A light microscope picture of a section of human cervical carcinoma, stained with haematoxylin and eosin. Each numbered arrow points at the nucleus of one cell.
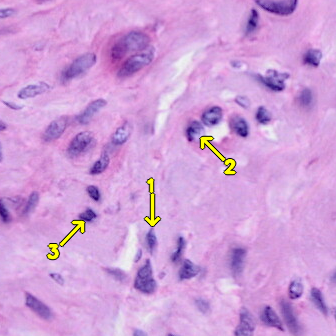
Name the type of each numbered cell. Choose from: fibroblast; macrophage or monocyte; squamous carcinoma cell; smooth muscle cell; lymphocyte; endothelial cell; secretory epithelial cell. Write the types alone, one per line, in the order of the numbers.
fibroblast
endothelial cell
fibroblast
